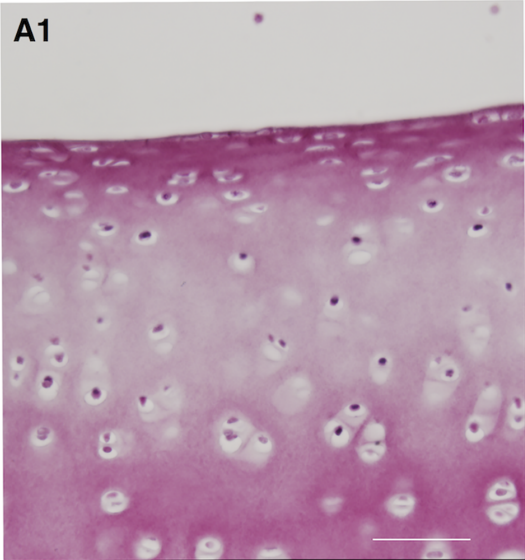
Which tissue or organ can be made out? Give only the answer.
Cartilage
